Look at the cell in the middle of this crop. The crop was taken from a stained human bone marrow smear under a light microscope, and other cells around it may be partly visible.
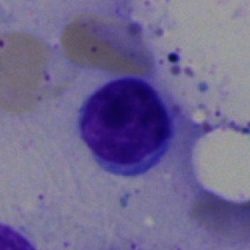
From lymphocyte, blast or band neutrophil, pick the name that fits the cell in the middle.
lymphocyte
